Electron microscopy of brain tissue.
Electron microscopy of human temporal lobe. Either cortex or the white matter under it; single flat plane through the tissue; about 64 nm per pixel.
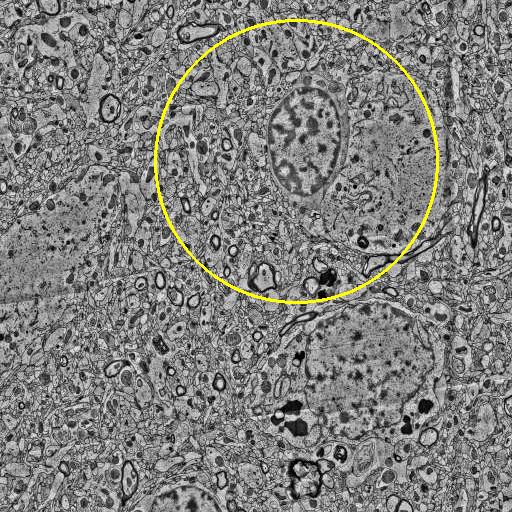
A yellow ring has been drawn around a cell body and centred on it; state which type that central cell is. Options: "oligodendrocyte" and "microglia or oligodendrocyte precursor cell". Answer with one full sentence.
The cell at the middle of the yellow ring is an oligodendrocyte in this picture.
